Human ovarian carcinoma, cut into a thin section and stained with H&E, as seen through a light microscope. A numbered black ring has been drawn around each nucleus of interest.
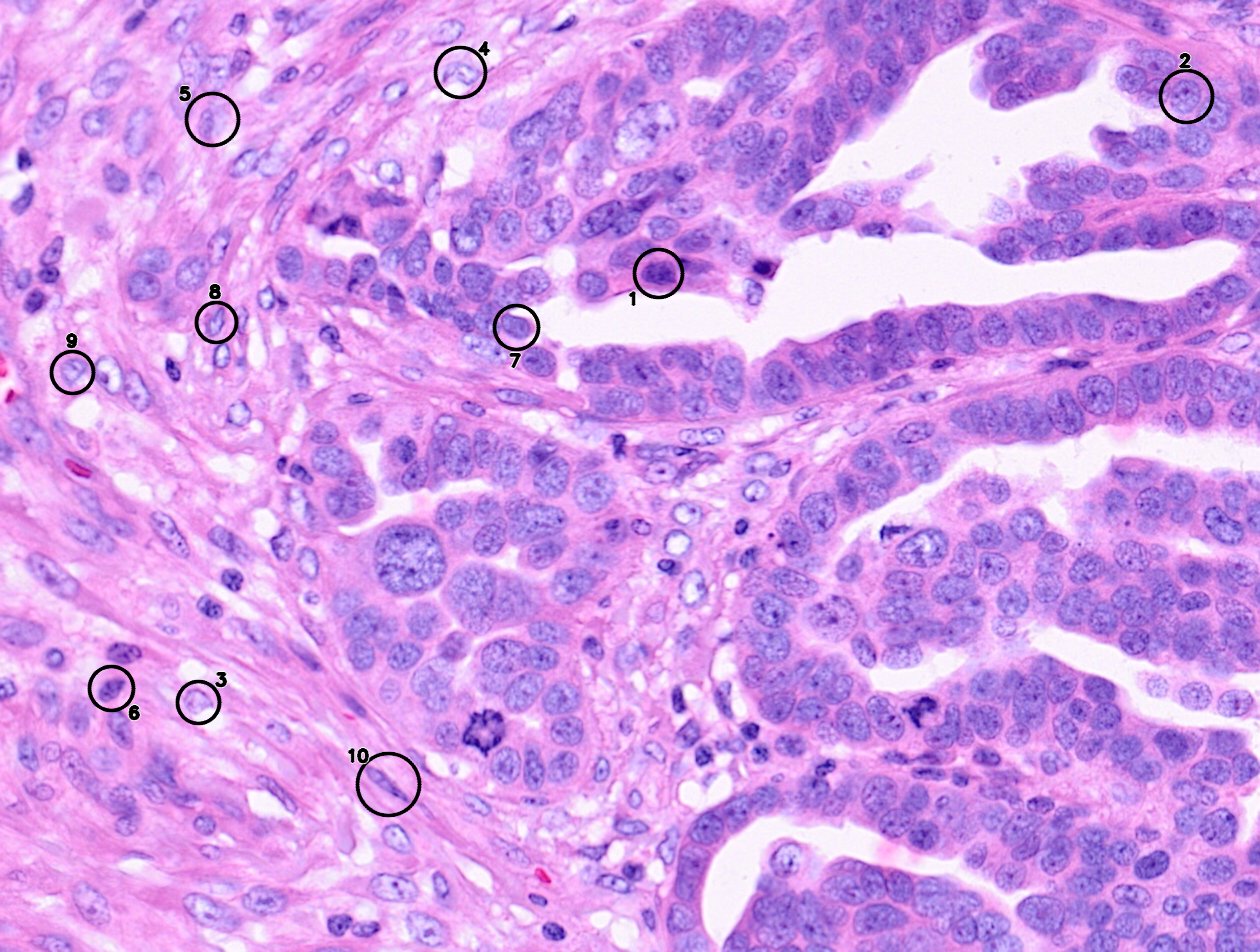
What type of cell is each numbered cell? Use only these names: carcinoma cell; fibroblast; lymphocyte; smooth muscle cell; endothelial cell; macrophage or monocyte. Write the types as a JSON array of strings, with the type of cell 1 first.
["carcinoma cell", "carcinoma cell", "fibroblast", "fibroblast", "fibroblast", "lymphocyte", "carcinoma cell", "fibroblast", "fibroblast", "fibroblast"]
